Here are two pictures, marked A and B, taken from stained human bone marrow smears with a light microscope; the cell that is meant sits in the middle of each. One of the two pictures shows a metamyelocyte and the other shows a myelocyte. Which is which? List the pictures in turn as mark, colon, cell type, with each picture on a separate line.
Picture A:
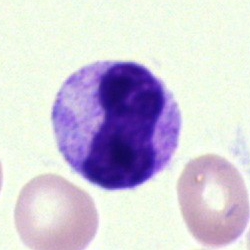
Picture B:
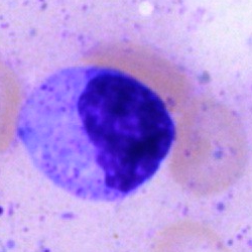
A: metamyelocyte
B: myelocyte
